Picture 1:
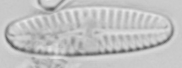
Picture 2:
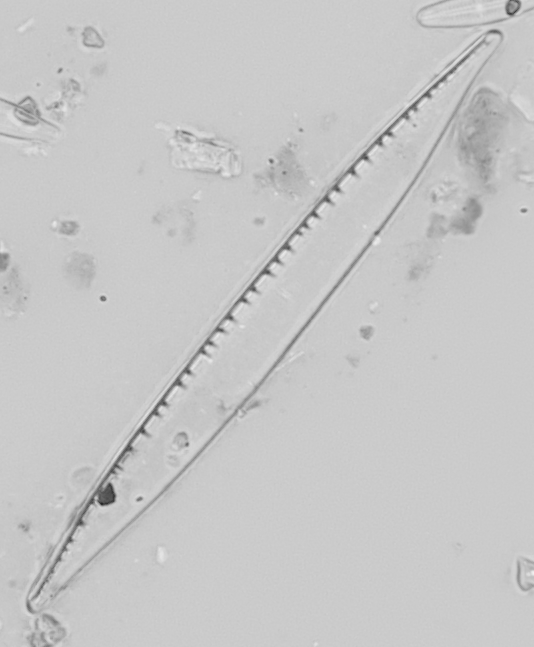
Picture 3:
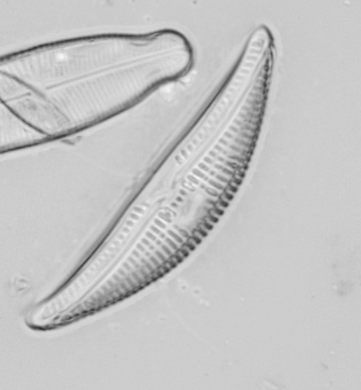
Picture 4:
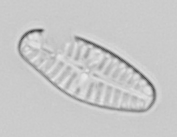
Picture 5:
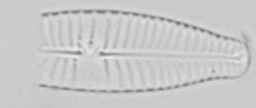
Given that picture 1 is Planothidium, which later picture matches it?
4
